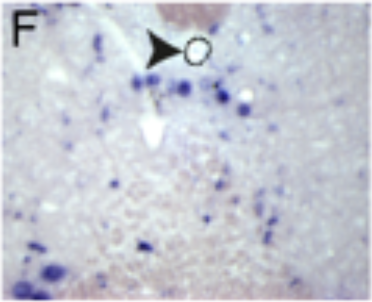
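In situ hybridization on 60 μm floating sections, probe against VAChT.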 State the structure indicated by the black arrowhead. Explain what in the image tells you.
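Central canal. The arrowhead points to a small outlined round lumen at the midline. Blue-stained cells cluster just below it.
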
